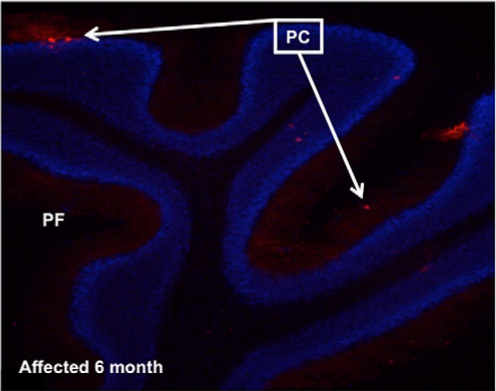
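This is cerebellar cortex with its folia, where Purkinje cells are nearly devoid of red staining. The granular layer stands out as a broad, continuous blue band of packed nuclei. The molecular layer outside it is dark, with only a faint, diffuse red tinge instead of a bright dendritic fill. Along the border between the molecular layer and the blue band, only a few isolated small red dots remain rather than a continuous row of cell bodies. The overall folded architecture of the folia is preserved.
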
